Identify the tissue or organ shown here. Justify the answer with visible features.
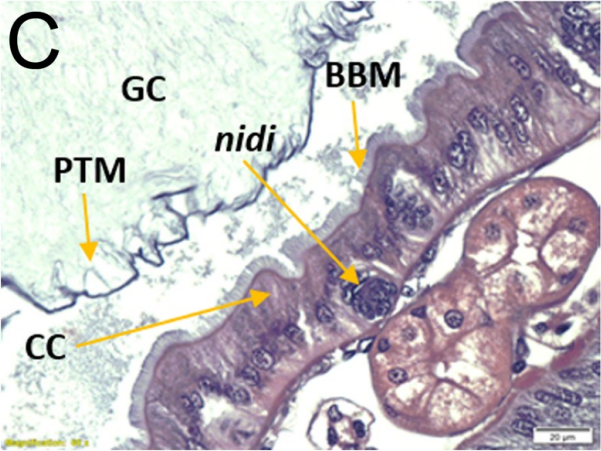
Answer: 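Tall columnar epithelium with a fringed apical border faces the lumen. A thin wavy membrane lies free in the lumen apart from the epithelium.
Answer: midgut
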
